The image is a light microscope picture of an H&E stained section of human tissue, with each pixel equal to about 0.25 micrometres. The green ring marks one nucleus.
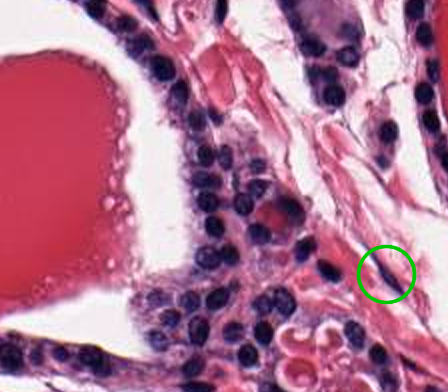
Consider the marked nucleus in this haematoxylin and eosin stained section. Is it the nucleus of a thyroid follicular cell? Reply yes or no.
no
